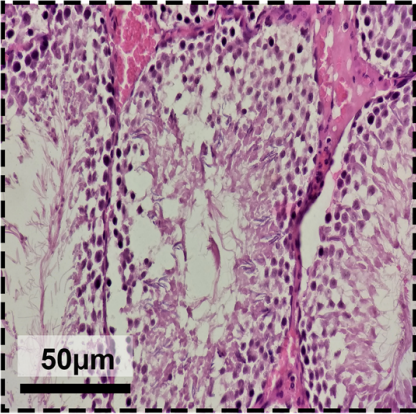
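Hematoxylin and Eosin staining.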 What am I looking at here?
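These are parts of several seminiferous tubules with damaged epithelium and blood between them. The tubules are lined by cells with round purple nuclei, but the epithelium looks loosened and thinned, with many clear spaces between cells and pale, wispy pink material filling the lumens. Some cells lie detached within the lumen rather than in ordered layers. Between adjacent tubules, the interstitium contains bright red, densely packed collections of red blood cells, especially at the top of the field and along the pink septa, where flattened elongated nuclei line the tubule borders.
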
